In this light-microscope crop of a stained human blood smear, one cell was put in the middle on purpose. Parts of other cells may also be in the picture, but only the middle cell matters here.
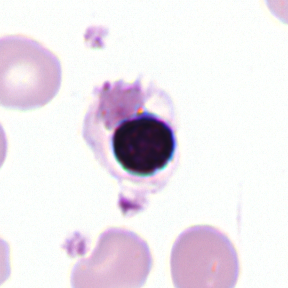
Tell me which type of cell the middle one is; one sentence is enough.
The cell at the central position in this crop is a normoblast.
